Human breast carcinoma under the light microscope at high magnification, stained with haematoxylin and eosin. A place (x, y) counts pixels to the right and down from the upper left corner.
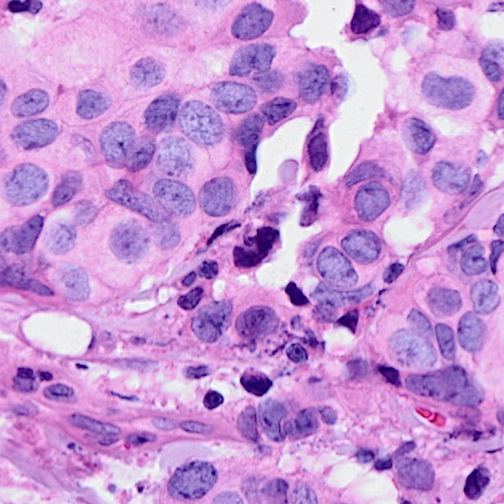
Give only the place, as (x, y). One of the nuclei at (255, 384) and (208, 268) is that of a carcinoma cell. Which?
(255, 384)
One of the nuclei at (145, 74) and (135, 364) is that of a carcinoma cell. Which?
(145, 74)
